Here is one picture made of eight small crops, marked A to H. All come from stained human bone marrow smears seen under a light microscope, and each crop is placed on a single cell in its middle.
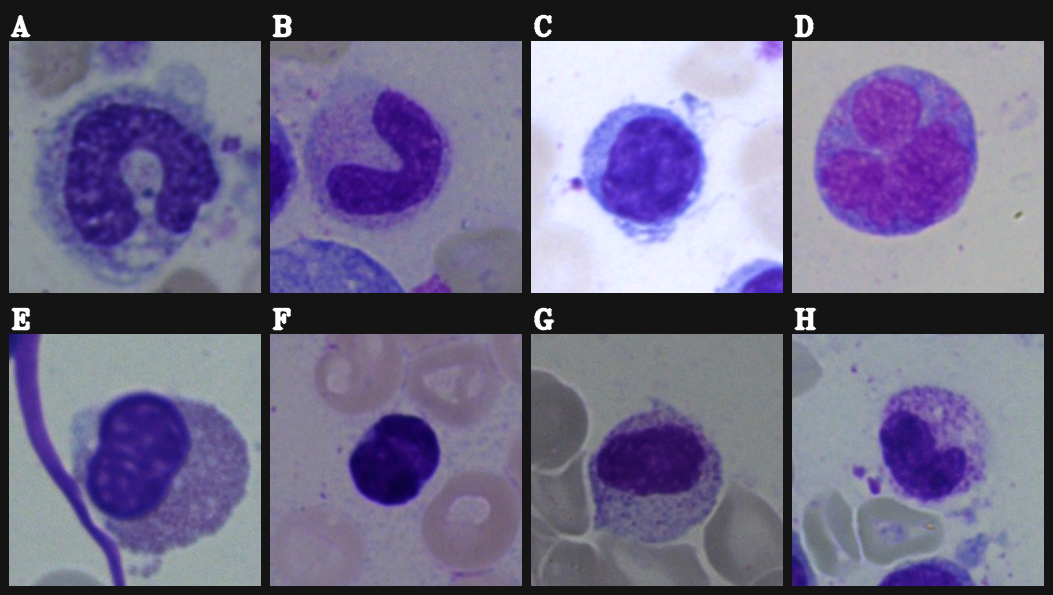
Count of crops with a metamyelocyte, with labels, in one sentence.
Exactly one crop in the series shows a metamyelocyte, and that crop is labelled G.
